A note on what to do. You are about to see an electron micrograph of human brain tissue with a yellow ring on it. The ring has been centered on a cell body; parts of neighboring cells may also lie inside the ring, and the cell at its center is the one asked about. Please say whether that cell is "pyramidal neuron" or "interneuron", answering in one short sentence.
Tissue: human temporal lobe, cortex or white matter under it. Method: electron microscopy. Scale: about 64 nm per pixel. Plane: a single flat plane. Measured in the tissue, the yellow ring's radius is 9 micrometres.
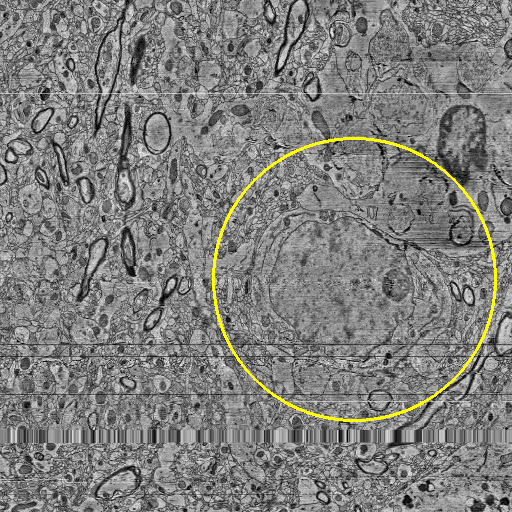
The yellow ring sits on an interneuron.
